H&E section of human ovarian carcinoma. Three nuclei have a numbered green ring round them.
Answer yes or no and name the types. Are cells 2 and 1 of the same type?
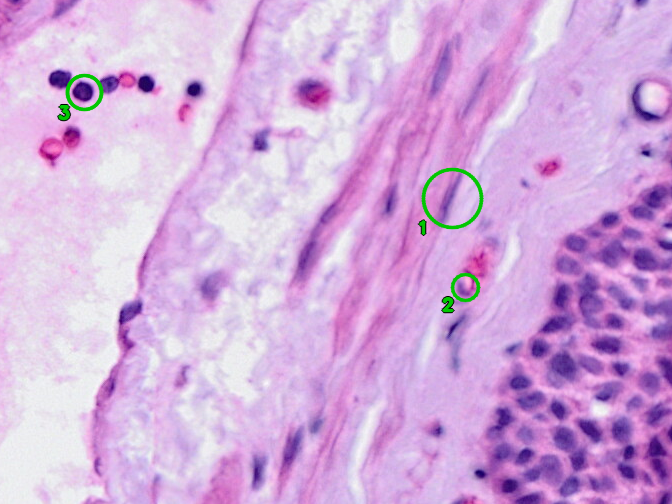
No, cell 2 is an endothelial cell and cell 1 is a smooth muscle cell.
